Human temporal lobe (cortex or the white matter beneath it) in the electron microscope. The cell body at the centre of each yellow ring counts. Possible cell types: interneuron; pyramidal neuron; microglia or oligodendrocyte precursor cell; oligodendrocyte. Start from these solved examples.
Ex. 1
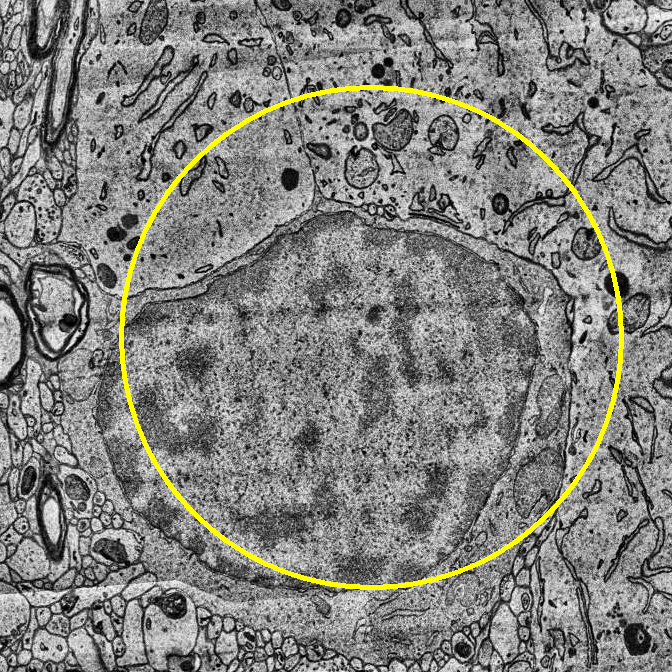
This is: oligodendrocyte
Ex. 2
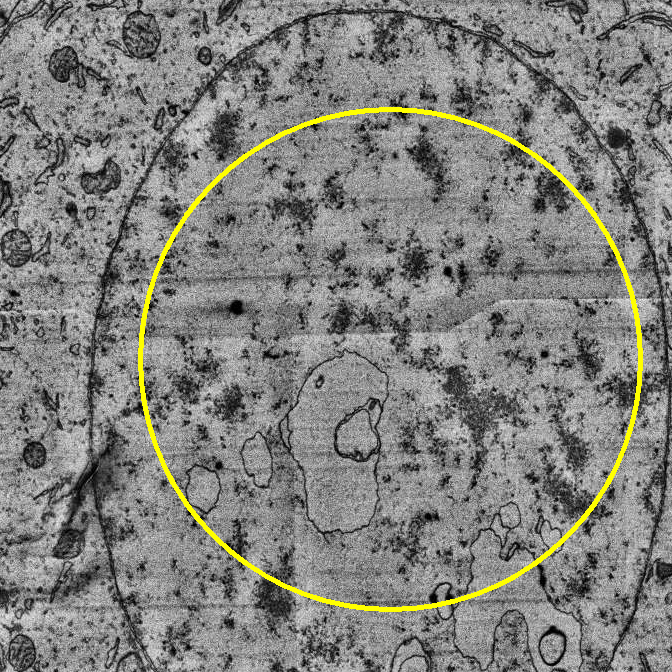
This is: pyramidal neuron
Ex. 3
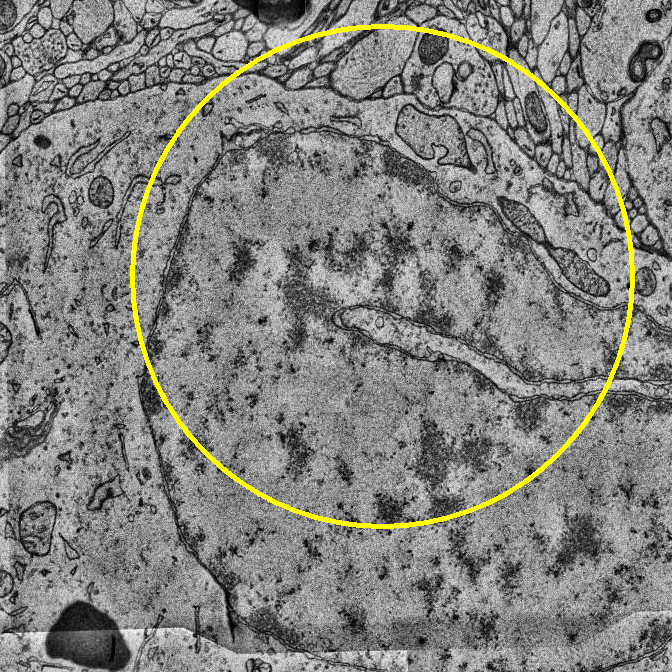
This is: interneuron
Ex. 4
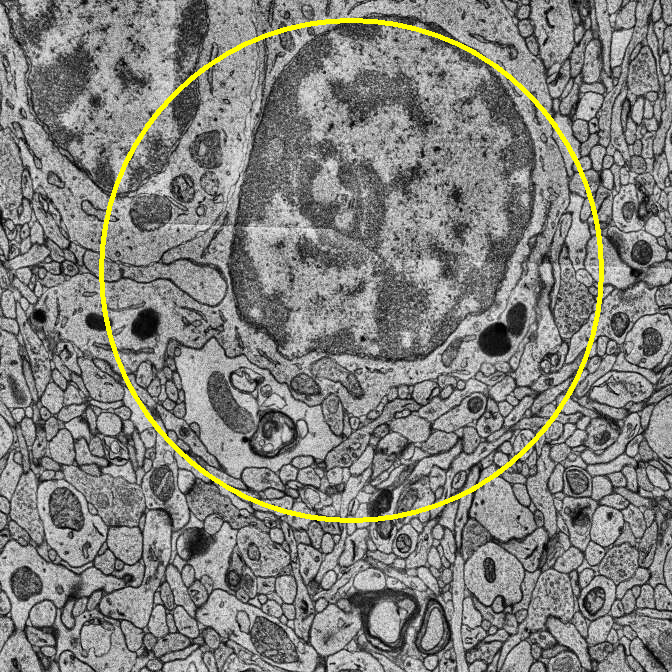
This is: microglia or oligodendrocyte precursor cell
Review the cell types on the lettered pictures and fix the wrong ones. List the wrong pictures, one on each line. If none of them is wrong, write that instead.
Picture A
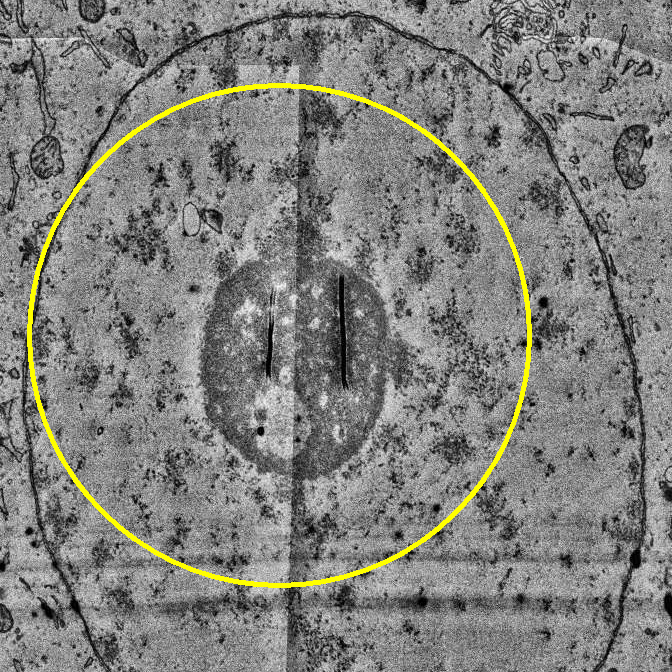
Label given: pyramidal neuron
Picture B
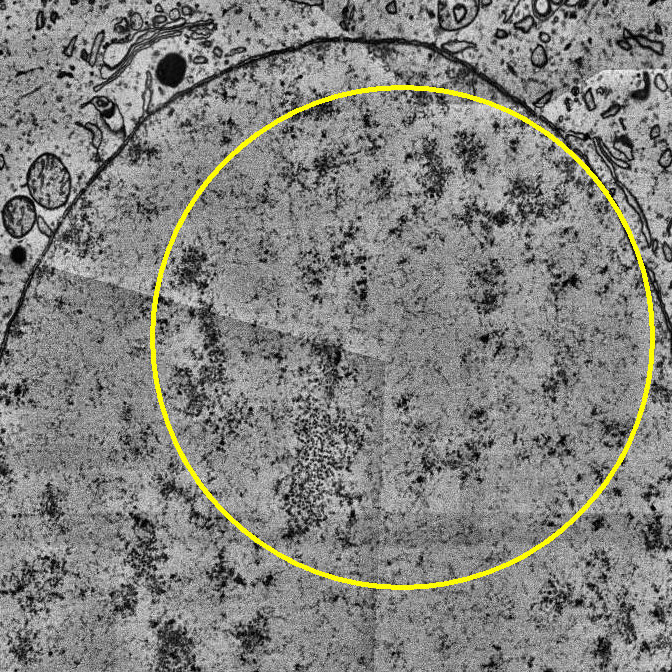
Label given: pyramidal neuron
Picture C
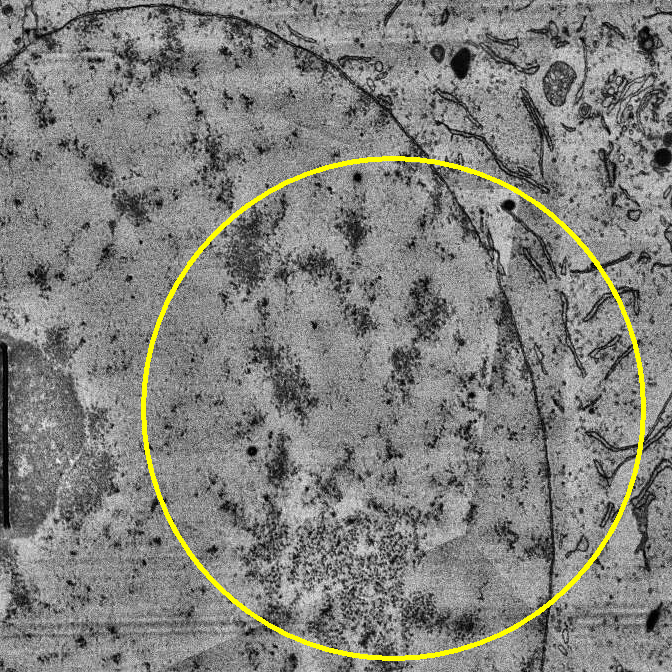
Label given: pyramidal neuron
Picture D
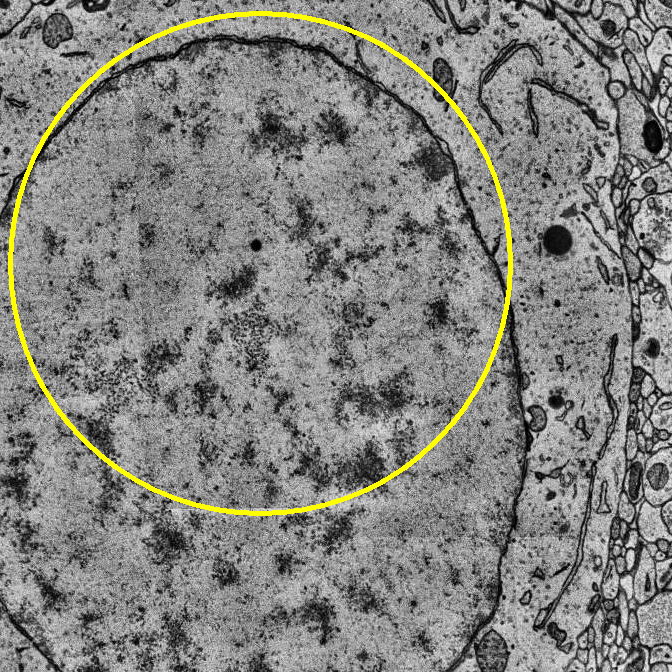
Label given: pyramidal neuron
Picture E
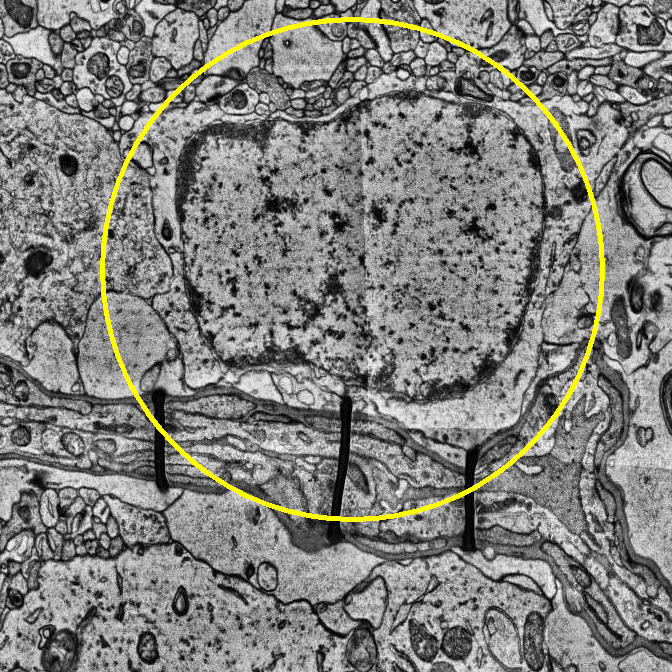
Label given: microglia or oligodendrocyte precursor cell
All correct.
